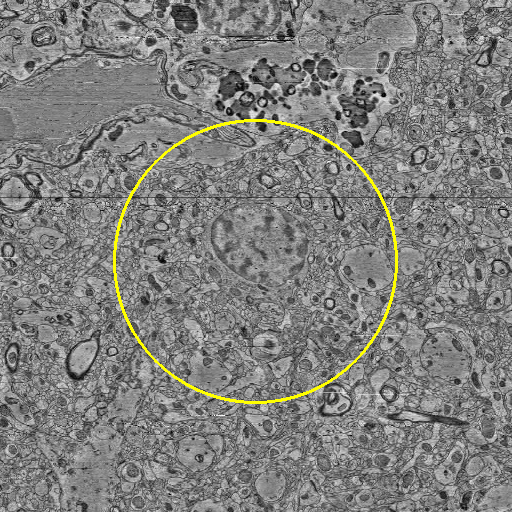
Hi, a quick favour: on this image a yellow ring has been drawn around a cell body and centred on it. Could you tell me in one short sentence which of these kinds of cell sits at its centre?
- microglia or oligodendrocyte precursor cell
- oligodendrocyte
The ring is centred on an oligodendrocyte.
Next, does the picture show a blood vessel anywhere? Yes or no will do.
Yes, there is one.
